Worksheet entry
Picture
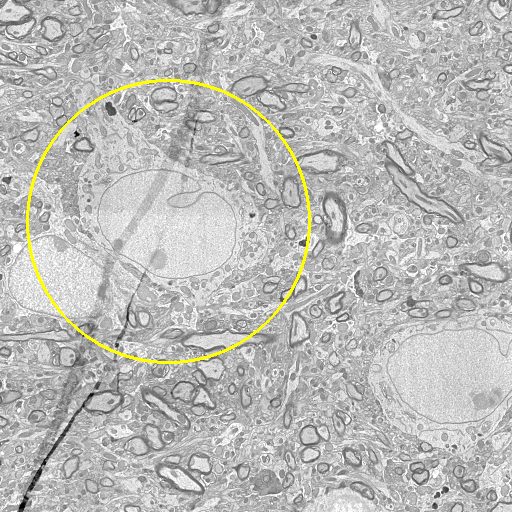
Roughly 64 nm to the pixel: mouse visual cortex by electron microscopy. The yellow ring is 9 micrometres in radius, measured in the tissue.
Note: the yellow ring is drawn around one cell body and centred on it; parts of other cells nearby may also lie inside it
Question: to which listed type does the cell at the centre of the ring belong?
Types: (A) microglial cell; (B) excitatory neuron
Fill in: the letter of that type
B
